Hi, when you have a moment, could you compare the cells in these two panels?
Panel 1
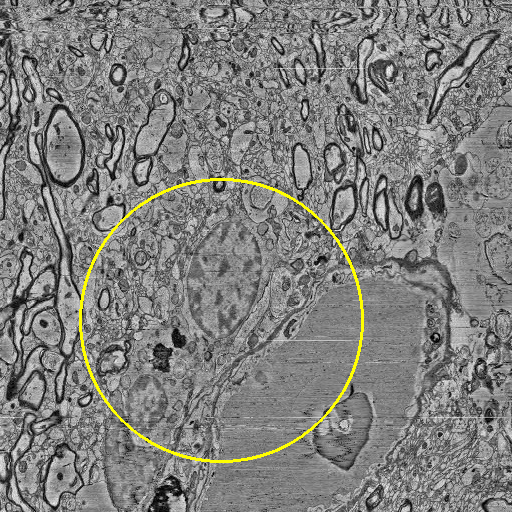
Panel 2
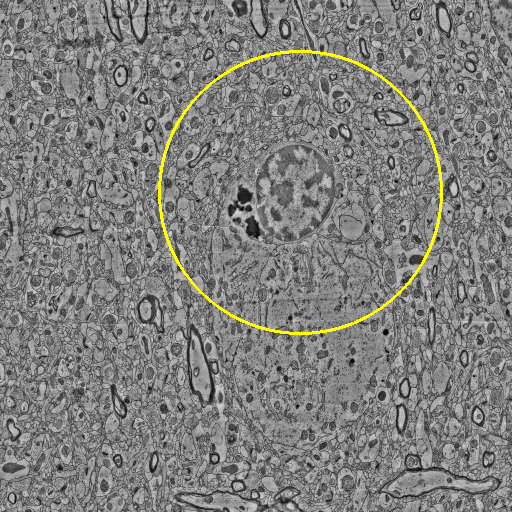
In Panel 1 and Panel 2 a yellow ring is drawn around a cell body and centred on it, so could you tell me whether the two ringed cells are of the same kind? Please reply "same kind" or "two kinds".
same kind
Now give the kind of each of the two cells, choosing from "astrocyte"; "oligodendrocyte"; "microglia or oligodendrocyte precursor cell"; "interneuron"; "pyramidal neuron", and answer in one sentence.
In each picture the ringed cell is an oligodendrocyte.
